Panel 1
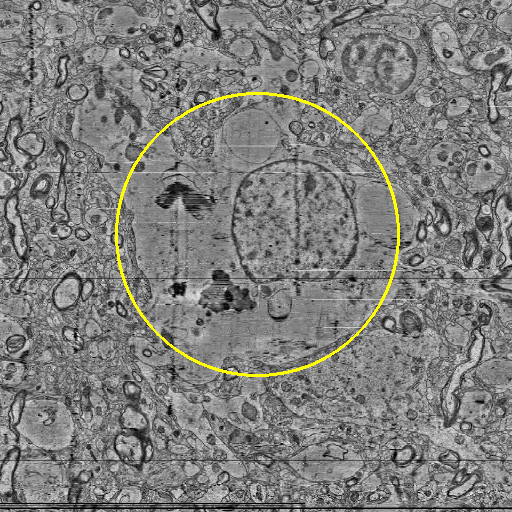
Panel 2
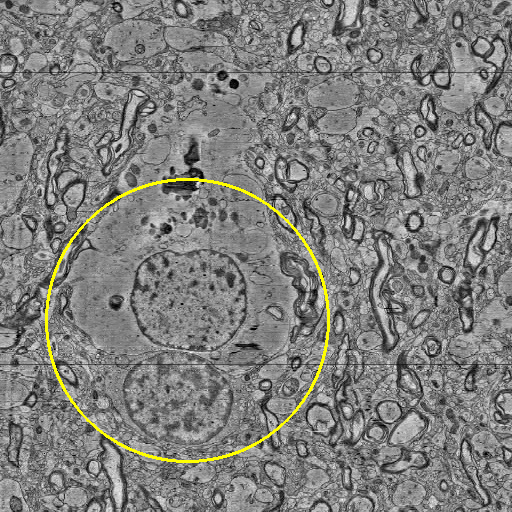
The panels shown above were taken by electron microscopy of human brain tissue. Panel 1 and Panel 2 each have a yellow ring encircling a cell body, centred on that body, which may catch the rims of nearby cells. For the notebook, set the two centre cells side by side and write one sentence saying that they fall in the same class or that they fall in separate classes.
The centred cells of Panel 1 and Panel 2 fall in the same class.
